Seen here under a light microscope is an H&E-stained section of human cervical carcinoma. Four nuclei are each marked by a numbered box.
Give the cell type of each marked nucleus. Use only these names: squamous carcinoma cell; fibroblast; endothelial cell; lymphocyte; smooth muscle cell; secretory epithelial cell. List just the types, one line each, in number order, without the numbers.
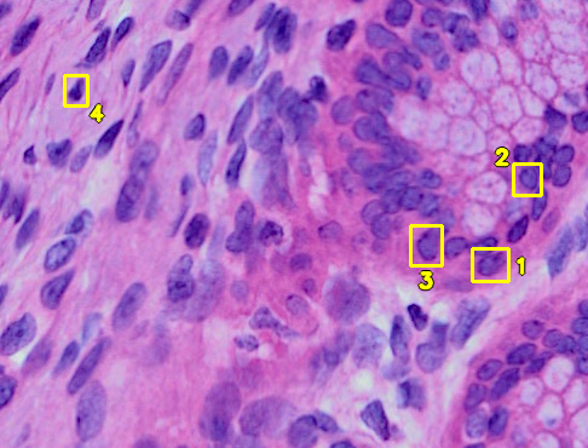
secretory epithelial cell
secretory epithelial cell
secretory epithelial cell
fibroblast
